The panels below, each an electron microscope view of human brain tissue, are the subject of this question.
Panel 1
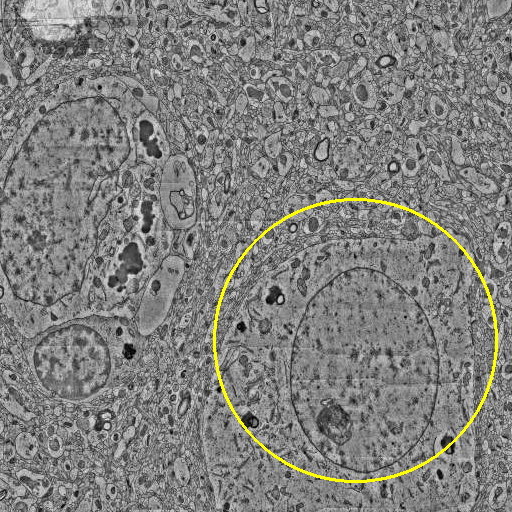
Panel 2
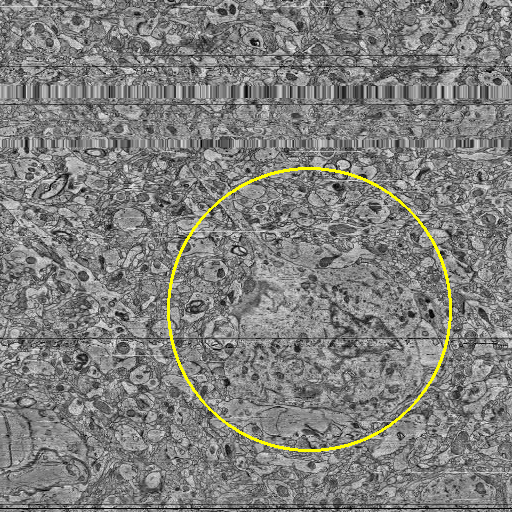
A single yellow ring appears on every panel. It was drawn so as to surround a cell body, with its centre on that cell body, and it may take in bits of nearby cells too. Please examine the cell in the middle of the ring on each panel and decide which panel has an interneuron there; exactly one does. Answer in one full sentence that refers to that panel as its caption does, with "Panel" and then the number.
Panel 2 is where the ring's central cell answers the question.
